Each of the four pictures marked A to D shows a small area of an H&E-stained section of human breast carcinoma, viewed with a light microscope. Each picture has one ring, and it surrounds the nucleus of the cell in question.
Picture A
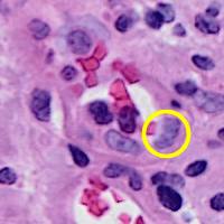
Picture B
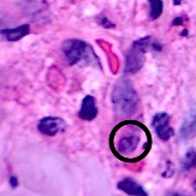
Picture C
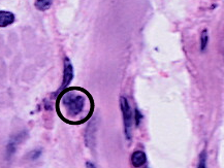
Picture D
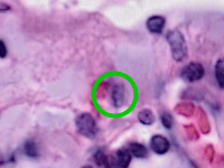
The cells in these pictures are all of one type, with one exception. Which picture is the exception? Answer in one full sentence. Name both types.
The different one is picture C; it shows a lymphocyte, whereas all the others show endothelial cells.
